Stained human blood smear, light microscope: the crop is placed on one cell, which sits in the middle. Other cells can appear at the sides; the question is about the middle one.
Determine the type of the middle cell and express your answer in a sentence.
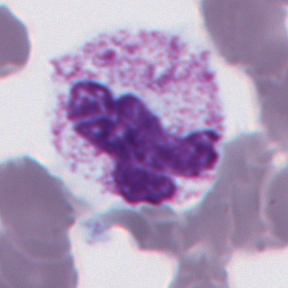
Answering briefly, the cell in the middle is a segmented neutrophil.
